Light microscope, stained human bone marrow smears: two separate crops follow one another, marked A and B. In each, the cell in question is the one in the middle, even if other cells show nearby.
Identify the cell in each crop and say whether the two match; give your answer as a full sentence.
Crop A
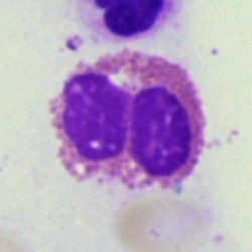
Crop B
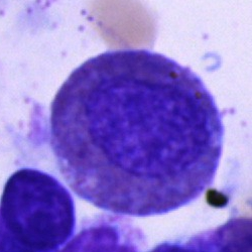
Yes, as an answer for this item, both crops show eosinophils.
